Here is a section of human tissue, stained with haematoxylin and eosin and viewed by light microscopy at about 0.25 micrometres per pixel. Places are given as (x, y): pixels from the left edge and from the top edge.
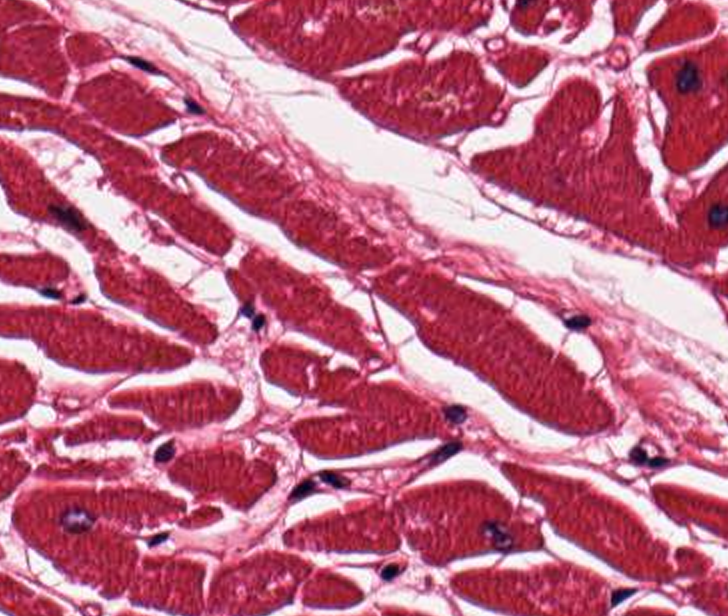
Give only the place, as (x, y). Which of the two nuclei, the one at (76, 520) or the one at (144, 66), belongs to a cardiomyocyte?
(76, 520)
